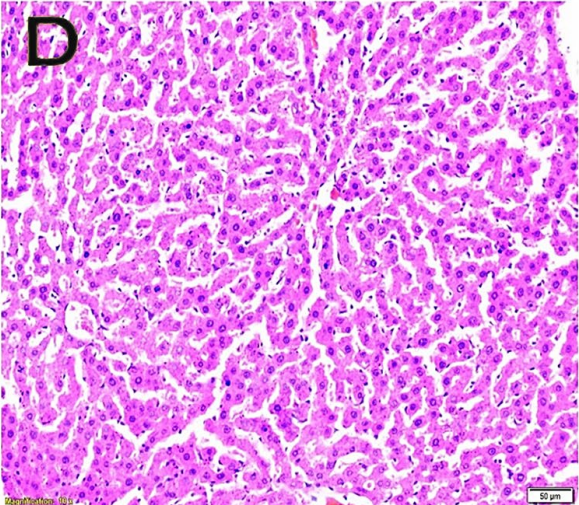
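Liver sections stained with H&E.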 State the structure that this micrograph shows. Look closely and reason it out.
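Regular hepatocyte strands. Polygonal cells with central round nuclei form plates one to two cells thick. The plates are separated by narrow clear channels.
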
